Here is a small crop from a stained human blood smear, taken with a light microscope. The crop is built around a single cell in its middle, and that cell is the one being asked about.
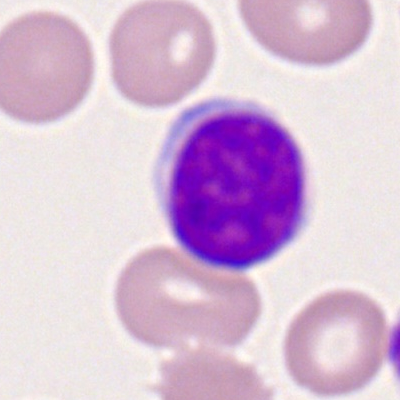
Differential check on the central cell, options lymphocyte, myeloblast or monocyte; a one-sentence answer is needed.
Within this crop, a lymphocyte occupies the central position.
